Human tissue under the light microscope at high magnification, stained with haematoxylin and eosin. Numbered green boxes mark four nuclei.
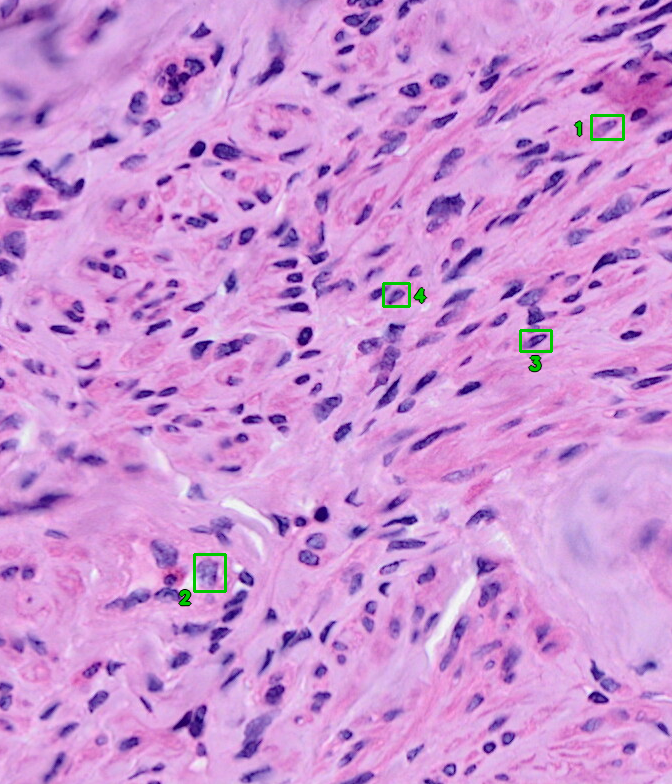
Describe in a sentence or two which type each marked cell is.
Cell 1 is a smooth muscle cell, cell 2 is an endothelial cell, cell 3 is a smooth muscle cell and cell 4 is a smooth muscle cell.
